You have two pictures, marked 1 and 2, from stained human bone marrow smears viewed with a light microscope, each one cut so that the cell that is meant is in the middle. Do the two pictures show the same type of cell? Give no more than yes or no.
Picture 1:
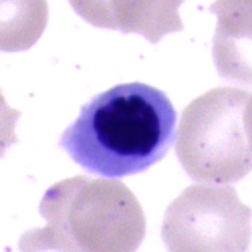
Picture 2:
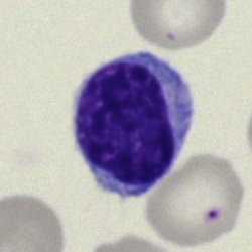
no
